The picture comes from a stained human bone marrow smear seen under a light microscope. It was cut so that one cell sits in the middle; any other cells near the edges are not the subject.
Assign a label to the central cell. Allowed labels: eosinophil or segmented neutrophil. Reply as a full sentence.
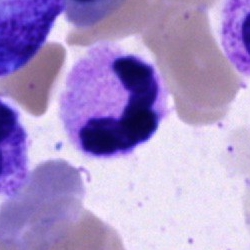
In the middle of this smear crop is a segmented neutrophil.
